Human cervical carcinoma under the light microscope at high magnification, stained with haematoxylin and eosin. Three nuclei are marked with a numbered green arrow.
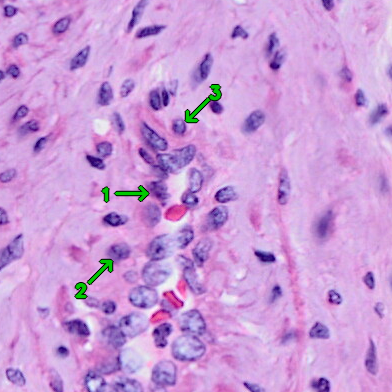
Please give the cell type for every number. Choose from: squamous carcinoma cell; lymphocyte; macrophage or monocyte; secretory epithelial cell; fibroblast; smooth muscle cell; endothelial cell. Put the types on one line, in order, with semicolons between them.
endothelial cell; smooth muscle cell; smooth muscle cell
